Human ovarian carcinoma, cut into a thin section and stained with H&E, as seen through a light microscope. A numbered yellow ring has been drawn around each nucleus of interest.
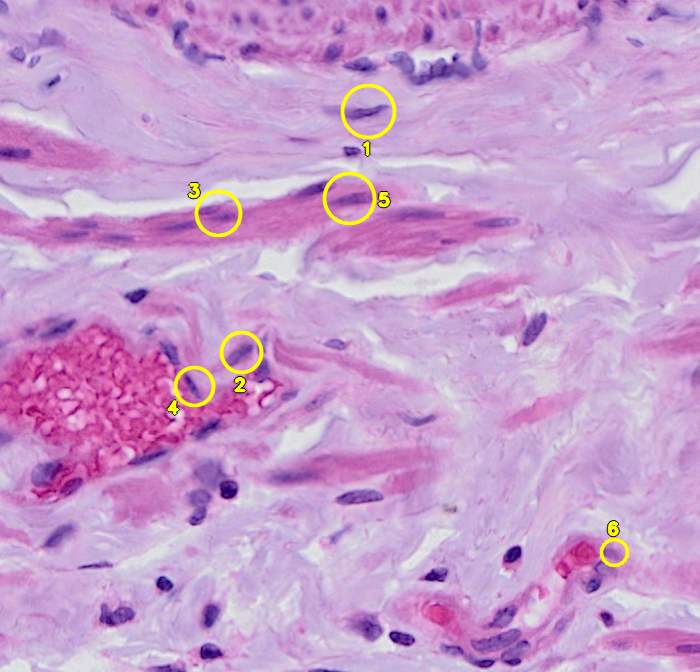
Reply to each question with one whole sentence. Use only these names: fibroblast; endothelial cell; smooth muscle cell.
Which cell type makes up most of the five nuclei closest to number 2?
Endothelial cells account for more than half of the five nuclei nearest to number 2.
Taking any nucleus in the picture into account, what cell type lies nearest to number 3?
Number 3 lies closest to the nucleus of a smooth muscle cell.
